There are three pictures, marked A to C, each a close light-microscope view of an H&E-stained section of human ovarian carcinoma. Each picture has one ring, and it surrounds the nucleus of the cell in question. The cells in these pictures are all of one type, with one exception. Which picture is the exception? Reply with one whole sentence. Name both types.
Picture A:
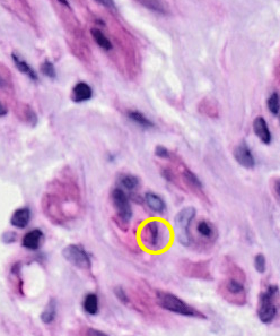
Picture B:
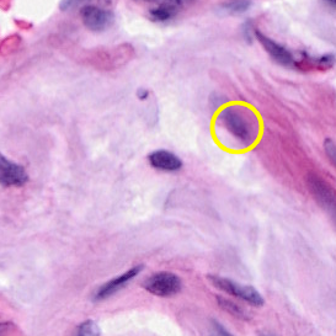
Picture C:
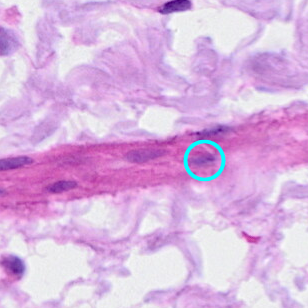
Picture A is the odd one out: it shows an endothelial cell, while the others show smooth muscle cells.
